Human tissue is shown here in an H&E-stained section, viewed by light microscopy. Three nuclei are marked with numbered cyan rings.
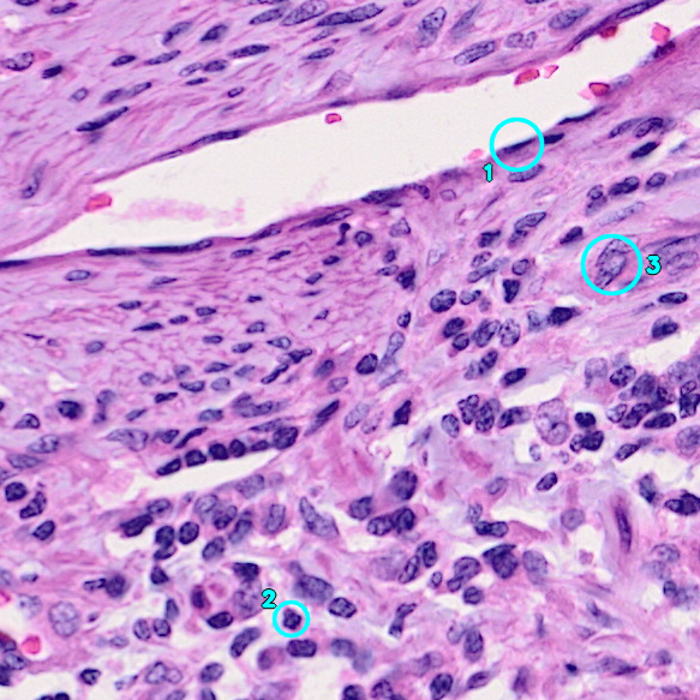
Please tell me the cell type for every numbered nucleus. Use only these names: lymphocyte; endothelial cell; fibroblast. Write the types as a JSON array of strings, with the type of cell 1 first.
["endothelial cell", "lymphocyte", "endothelial cell"]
